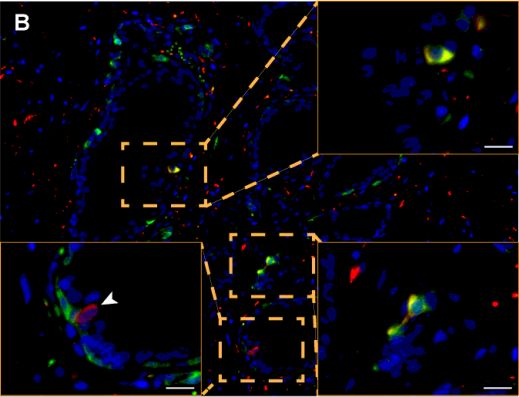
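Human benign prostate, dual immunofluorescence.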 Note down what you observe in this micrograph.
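Blue nuclei outline the epithelial lining of the glands and the surrounding stroma. Here and there single cells along the epithelium show red signal, most of them also green, so that they appear yellow-orange where both overlap. One red cell in the lower left inset lacks green signal, while elongated green profiles lie close beside it. Small red and green dots are scattered through the field.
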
